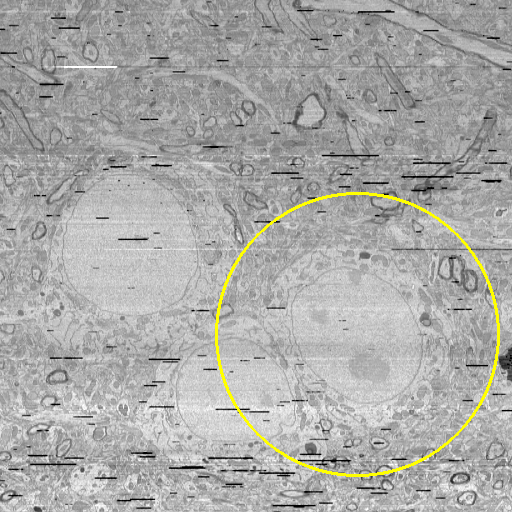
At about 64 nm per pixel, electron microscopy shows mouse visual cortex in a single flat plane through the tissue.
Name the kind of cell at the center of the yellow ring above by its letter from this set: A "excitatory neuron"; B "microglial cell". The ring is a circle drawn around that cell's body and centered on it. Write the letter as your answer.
A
